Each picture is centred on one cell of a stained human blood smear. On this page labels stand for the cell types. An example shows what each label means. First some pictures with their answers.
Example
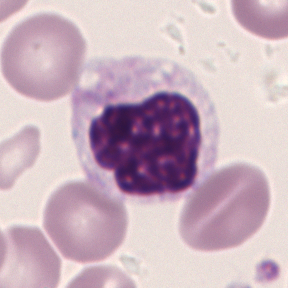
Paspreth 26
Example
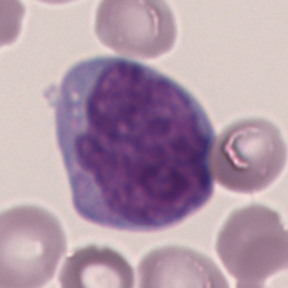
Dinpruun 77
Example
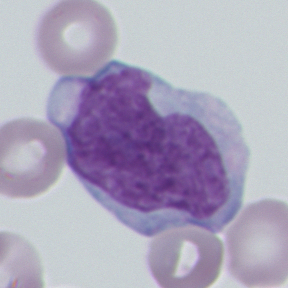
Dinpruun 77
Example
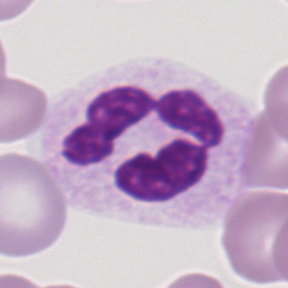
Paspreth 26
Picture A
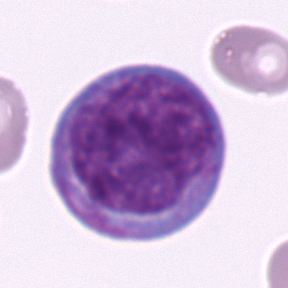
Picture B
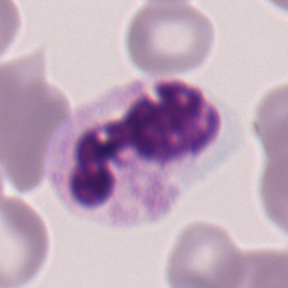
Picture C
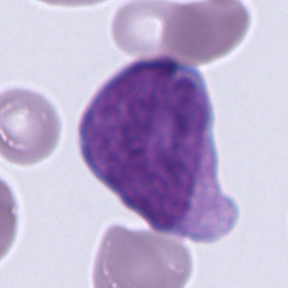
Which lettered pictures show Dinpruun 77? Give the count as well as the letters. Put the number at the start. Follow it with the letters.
Count: 2 (A, C)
